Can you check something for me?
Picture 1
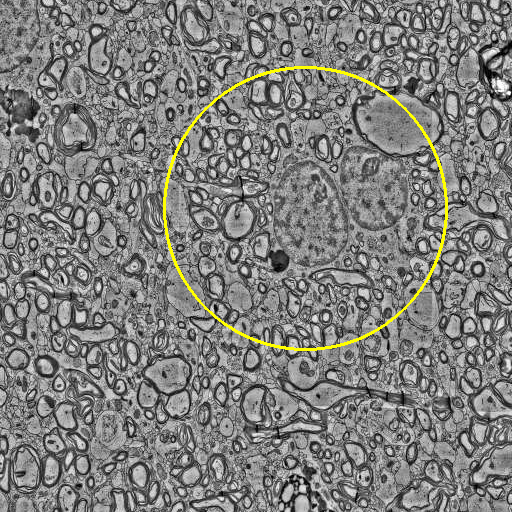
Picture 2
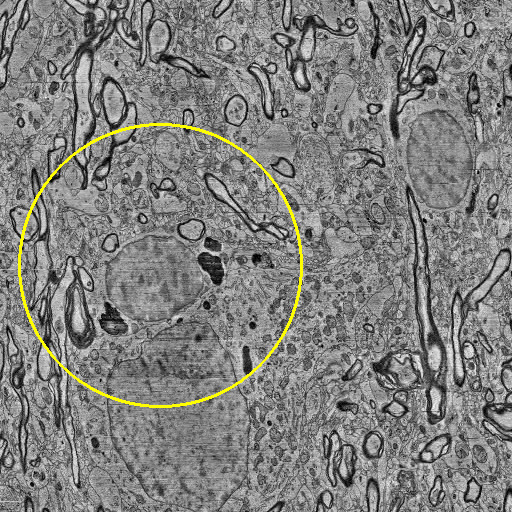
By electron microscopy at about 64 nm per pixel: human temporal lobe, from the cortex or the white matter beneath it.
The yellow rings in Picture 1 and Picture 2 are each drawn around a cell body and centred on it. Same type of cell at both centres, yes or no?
yes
